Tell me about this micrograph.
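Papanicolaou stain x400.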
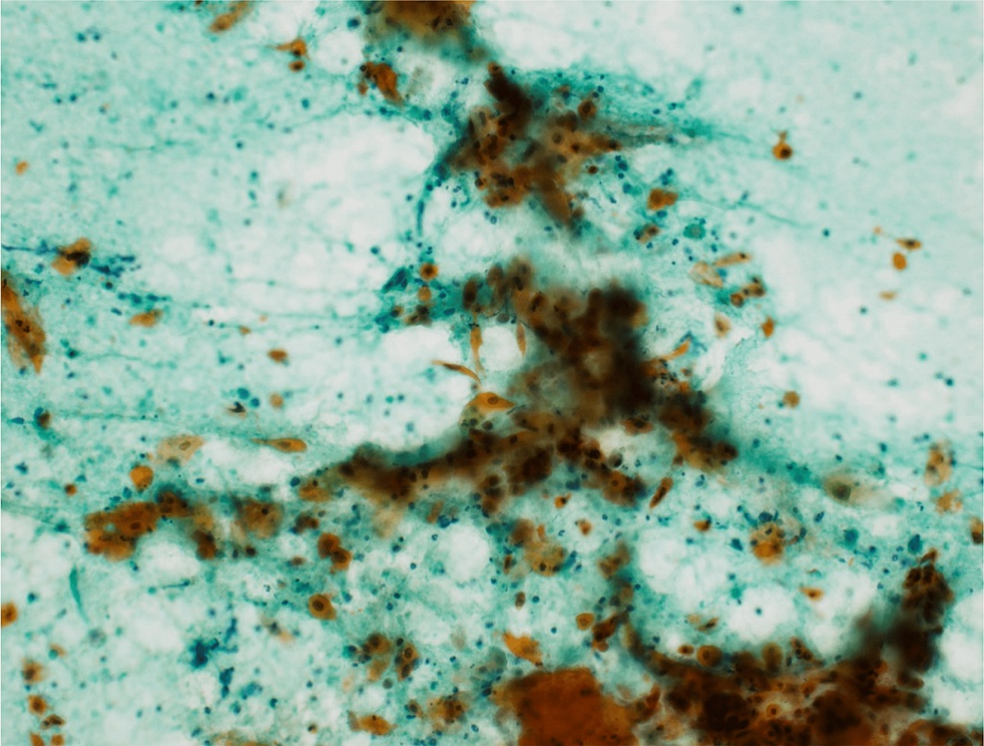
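This smear shows malignant squamous cells spread over a dirty, necrotic background. Irregular clusters and strands of cells run across the field. Many cells have dense orange cytoplasm, and some are oval while others are drawn out into elongated, spindle or fibre-like forms. Their nuclei are dark and coarse, and within the thick clusters they are crowded and overlapping. The background is a pale blue-green, granular, stringy material. It holds many small dark blue dots and scattered debris, and it gives a smudged, necrotic look around the cell groups.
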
